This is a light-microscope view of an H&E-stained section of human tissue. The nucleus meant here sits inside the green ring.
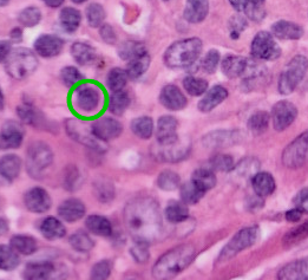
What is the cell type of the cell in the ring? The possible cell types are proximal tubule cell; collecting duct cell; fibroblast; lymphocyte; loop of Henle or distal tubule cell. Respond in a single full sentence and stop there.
As a matter of cell type, the cell in the ring is a lymphocyte.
